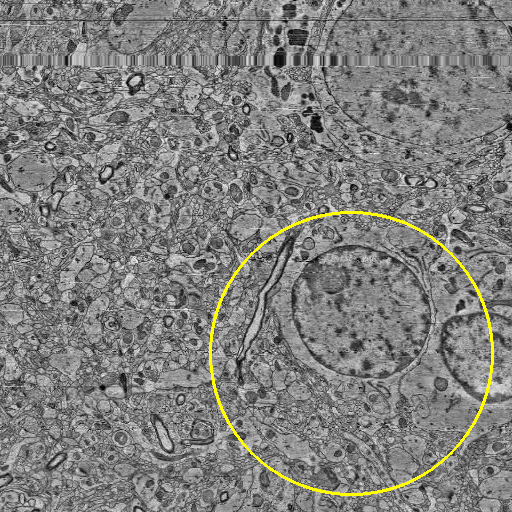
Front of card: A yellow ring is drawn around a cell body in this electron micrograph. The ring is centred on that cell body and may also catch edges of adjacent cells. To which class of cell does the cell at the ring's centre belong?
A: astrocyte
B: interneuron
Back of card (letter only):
A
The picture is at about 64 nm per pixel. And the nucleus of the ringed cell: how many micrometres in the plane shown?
Roughly 9 micrometers across in this plane.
